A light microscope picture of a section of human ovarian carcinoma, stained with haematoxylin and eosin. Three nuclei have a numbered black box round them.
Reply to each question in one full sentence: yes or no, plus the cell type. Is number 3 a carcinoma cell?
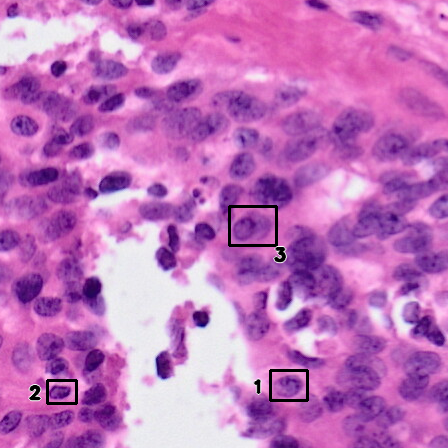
Yes, that is so; number 3 marks a carcinoma cell.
